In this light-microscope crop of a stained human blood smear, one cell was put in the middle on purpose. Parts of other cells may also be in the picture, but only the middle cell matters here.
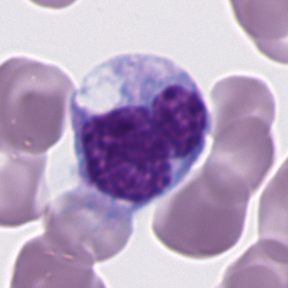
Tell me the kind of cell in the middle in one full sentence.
The cell sitting right in the middle is a monocyte.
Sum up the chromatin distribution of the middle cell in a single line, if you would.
Its chromatin is clumped in a coarse pattern.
